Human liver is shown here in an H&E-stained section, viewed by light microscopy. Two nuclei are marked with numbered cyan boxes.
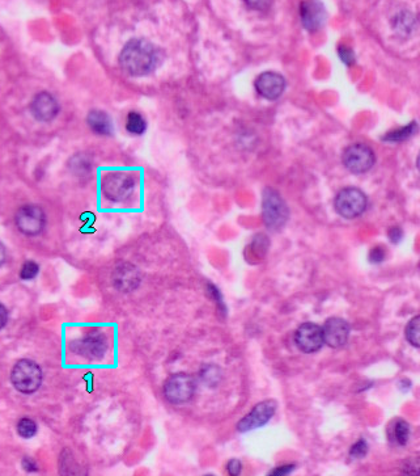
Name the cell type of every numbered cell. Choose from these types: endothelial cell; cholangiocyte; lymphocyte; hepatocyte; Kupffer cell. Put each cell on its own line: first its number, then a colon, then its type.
1: endothelial cell
2: hepatocyte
